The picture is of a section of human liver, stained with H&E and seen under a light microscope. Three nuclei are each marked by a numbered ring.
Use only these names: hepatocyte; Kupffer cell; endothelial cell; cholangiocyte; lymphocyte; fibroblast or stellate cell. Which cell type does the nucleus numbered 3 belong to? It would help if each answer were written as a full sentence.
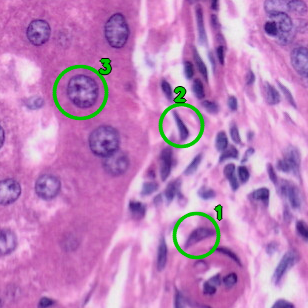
The identity of cell 3 is that of a hepatocyte.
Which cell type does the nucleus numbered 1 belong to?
The cell that carries the label 1 is a fibroblast or stellate cell.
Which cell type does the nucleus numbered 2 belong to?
Cell 2 in the field is a fibroblast or stellate cell.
